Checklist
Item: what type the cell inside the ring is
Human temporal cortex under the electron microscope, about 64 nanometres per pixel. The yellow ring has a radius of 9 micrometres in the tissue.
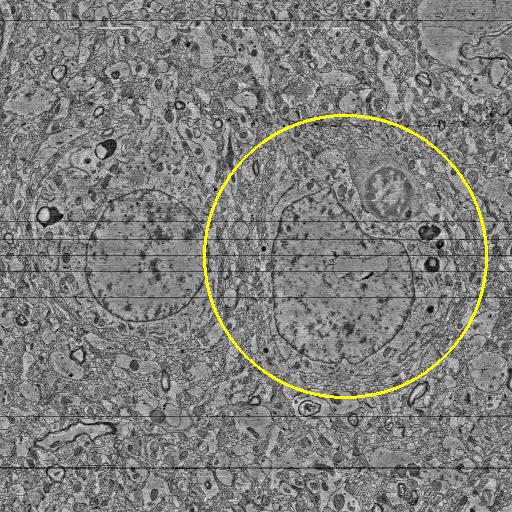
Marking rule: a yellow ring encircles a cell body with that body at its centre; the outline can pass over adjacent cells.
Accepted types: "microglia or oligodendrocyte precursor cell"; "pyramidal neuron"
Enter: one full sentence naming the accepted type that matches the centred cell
The entry is that a pyramidal neuron lies at the centre of the yellow ring.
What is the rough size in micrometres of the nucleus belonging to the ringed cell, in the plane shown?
In this plane, roughly 11 by 9 micrometres.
